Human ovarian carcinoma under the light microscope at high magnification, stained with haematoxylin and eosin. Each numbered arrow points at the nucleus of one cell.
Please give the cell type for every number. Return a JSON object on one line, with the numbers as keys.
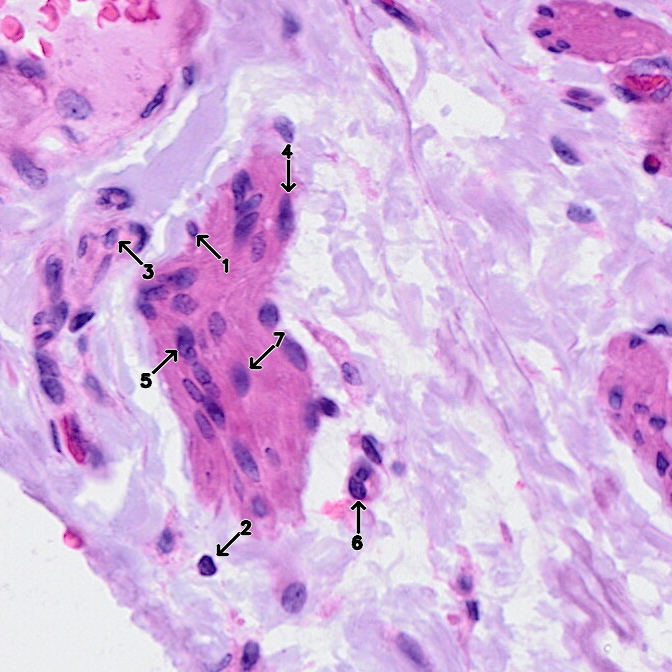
{"1": "smooth muscle cell", "2": "lymphocyte", "3": "endothelial cell", "4": "smooth muscle cell", "5": "smooth muscle cell", "6": "endothelial cell", "7": "smooth muscle cell"}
